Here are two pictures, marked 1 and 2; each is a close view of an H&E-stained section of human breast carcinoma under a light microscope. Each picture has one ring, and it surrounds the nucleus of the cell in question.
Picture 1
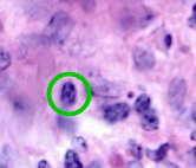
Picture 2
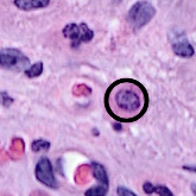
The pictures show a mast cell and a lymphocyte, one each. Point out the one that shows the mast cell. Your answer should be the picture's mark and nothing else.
2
